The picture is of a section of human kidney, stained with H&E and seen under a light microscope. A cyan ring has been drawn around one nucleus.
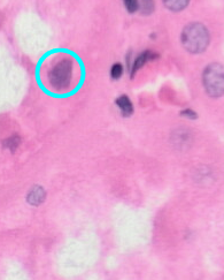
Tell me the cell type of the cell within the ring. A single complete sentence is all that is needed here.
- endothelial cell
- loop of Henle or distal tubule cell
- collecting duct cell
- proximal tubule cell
Among the cells in this section, the cell within the ring is a proximal tubule cell.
